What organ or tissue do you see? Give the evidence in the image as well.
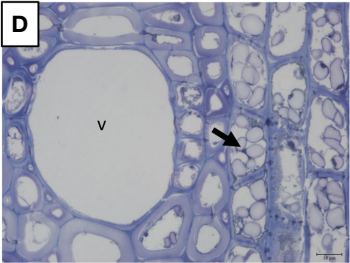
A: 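A very large round empty lumen sits beside many small angular cells. A file of elongated cells runs vertically on the right. So: xylem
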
